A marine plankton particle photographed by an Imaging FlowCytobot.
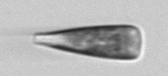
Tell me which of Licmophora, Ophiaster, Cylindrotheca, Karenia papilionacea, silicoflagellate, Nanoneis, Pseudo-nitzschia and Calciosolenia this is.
The picture shows Licmophora.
